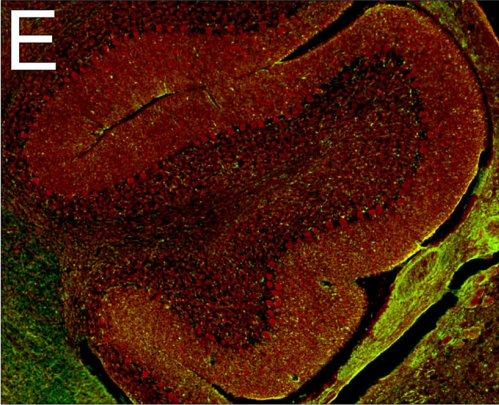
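A cerebellar folium with a single row of large, round, red-stained Purkinje cell bodies lining the border between the outer and inner layers. Outside the row lies a broad, fairly uniform orange-red layer with scattered small yellow-green dots, while inside it the inner layer is darker and densely packed with small cells. A fissure cuts in between folds, and brighter yellow-green tissue runs along the surface at the lower right.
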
